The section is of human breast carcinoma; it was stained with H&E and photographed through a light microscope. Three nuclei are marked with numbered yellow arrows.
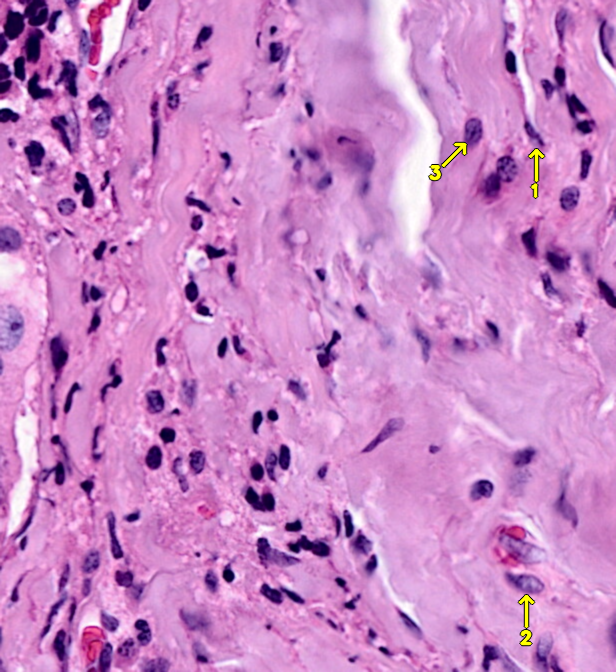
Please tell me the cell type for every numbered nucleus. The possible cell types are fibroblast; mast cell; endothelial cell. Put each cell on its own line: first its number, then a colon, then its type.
1: fibroblast
2: endothelial cell
3: mast cell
